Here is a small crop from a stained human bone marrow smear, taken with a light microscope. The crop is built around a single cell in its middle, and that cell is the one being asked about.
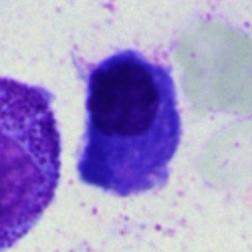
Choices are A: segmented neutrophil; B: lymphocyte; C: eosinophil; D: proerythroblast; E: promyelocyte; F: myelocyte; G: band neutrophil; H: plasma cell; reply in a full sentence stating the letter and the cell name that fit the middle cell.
Given that the cell in the middle is a plasma cell, option H is correct.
